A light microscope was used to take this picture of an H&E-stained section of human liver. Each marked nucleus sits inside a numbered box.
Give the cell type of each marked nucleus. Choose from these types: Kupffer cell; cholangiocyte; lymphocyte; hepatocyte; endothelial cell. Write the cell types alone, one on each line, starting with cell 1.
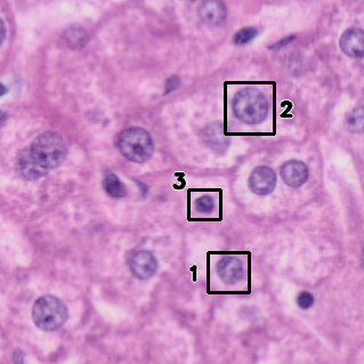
hepatocyte
hepatocyte
lymphocyte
